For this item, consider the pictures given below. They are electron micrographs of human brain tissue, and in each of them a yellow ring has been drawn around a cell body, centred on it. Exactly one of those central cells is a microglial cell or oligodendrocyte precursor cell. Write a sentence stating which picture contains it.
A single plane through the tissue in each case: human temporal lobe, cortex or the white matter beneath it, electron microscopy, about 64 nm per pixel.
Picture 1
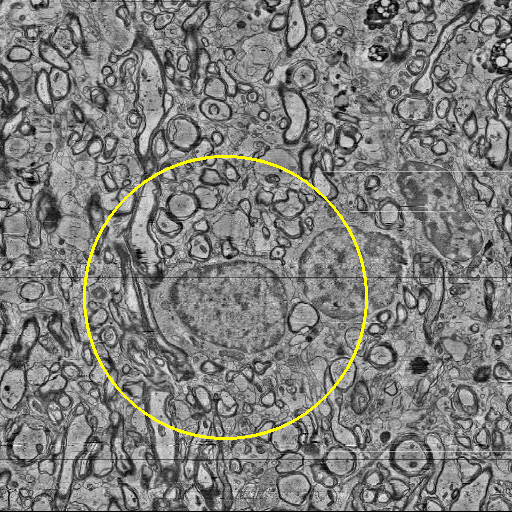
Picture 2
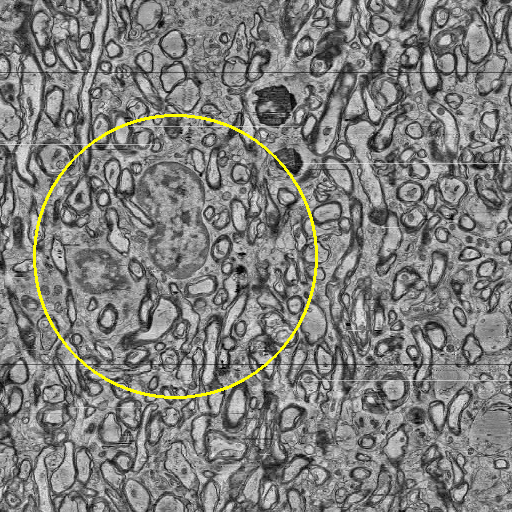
It is in Picture 2.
